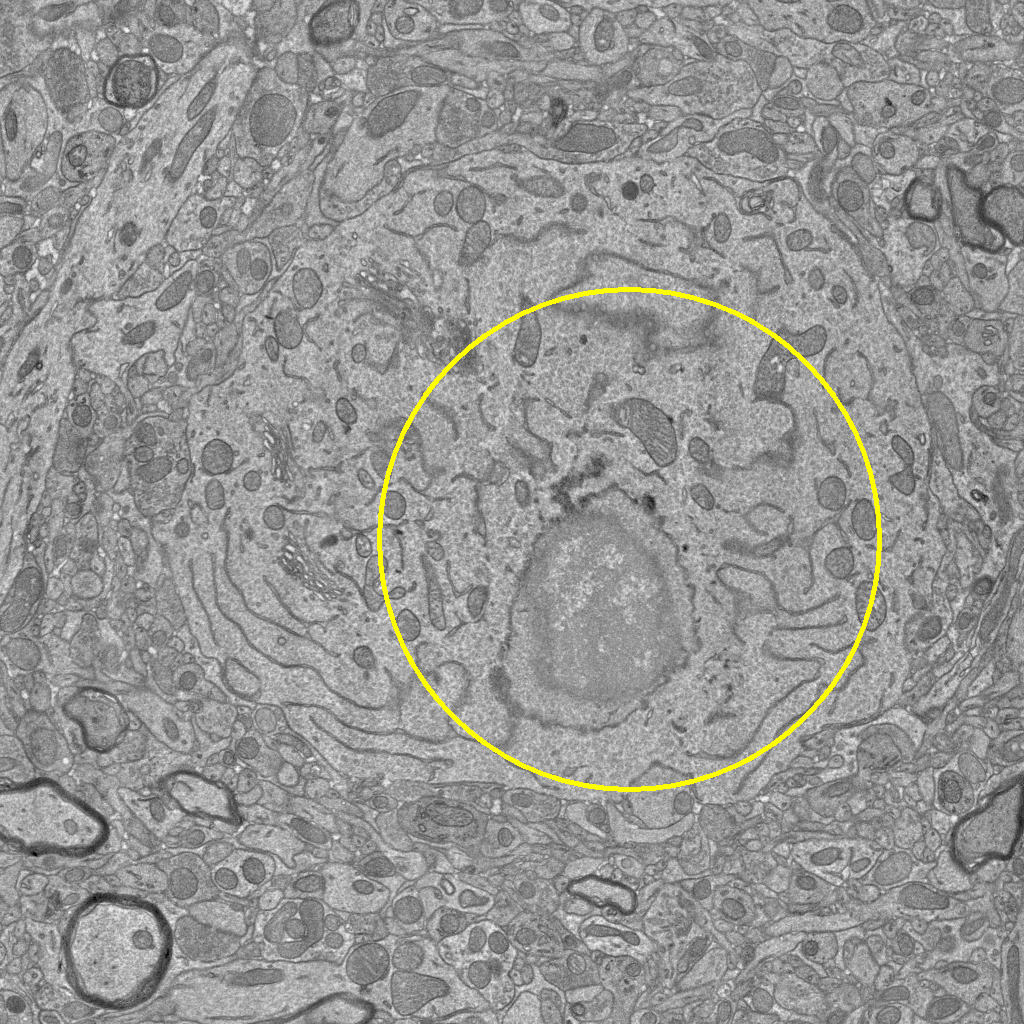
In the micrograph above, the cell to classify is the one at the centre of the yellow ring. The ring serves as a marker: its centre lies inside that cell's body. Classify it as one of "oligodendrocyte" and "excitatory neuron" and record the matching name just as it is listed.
oligodendrocyte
